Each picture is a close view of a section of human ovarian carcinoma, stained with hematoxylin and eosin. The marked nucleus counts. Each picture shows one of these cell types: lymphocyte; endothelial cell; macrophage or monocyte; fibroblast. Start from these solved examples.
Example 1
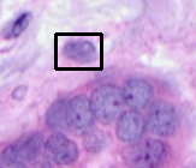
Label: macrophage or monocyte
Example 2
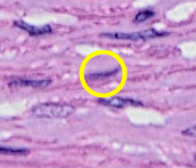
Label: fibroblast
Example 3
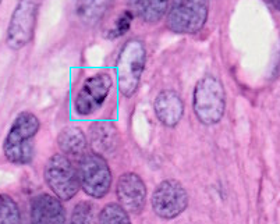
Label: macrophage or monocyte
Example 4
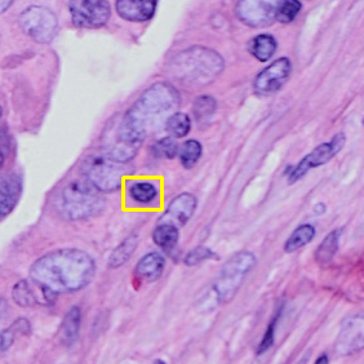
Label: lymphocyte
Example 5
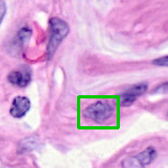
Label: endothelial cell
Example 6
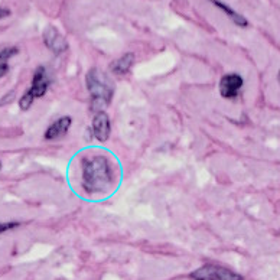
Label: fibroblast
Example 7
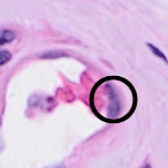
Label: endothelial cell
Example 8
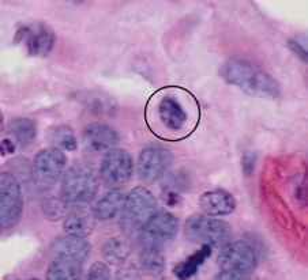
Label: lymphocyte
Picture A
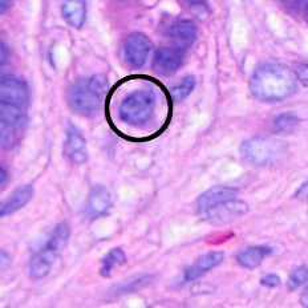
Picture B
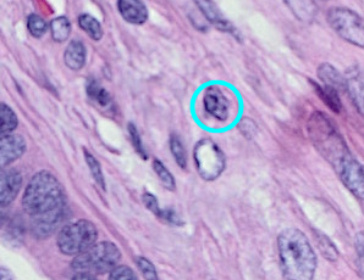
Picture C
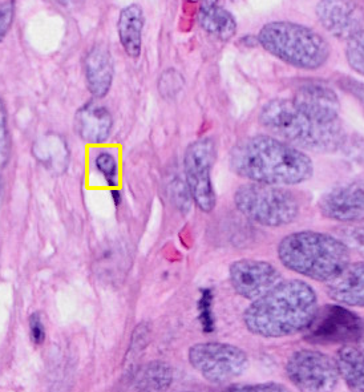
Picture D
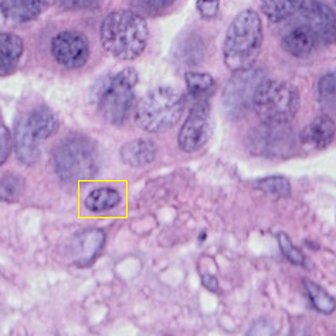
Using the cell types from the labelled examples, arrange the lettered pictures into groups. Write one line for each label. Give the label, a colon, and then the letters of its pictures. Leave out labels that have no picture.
lymphocyte: B
macrophage or monocyte: A, C, D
